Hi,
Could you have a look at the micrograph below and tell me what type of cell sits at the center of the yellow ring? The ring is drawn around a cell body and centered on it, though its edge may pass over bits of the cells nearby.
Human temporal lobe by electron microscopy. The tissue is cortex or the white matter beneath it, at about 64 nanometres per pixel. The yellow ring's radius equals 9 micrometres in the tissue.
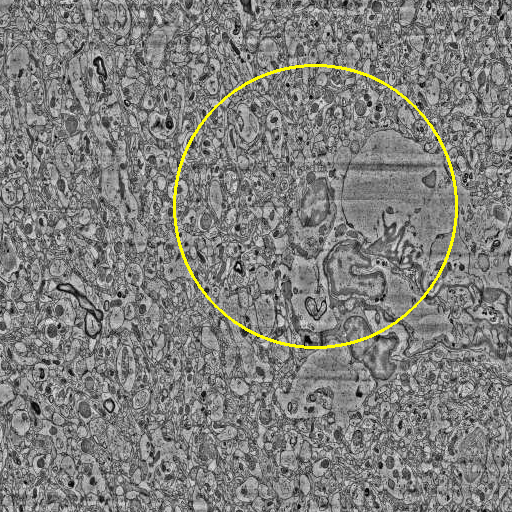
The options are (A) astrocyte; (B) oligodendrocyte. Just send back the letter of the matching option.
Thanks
B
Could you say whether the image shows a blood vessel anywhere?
Yes, a blood vessel shows in the picture.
